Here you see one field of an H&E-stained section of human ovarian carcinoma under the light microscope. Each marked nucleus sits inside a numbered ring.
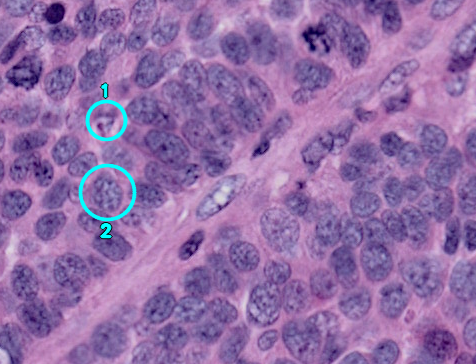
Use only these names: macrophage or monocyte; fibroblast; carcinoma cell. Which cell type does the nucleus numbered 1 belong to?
macrophage or monocyte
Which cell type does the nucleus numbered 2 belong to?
carcinoma cell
